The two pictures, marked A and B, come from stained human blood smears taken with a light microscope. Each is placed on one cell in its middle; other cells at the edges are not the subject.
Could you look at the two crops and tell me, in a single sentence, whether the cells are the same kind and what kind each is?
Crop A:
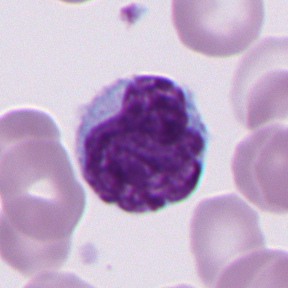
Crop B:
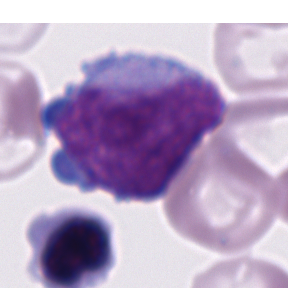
No, crop A is home to a typical lymphocyte, and crop B to a myeloblast.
